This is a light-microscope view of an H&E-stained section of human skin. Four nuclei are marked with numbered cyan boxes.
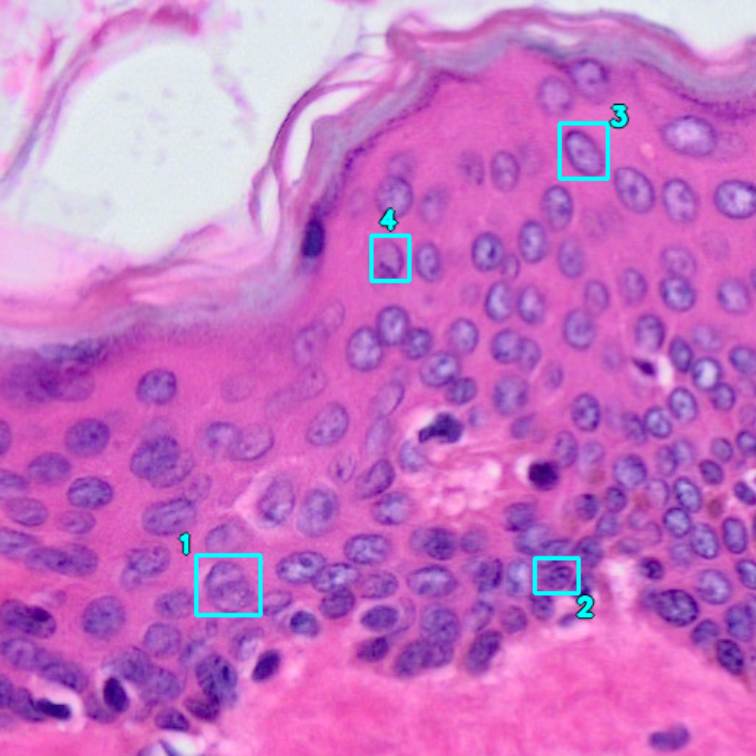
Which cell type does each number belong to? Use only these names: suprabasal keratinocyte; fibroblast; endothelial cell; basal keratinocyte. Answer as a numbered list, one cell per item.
1. suprabasal keratinocyte
2. basal keratinocyte
3. suprabasal keratinocyte
4. suprabasal keratinocyte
